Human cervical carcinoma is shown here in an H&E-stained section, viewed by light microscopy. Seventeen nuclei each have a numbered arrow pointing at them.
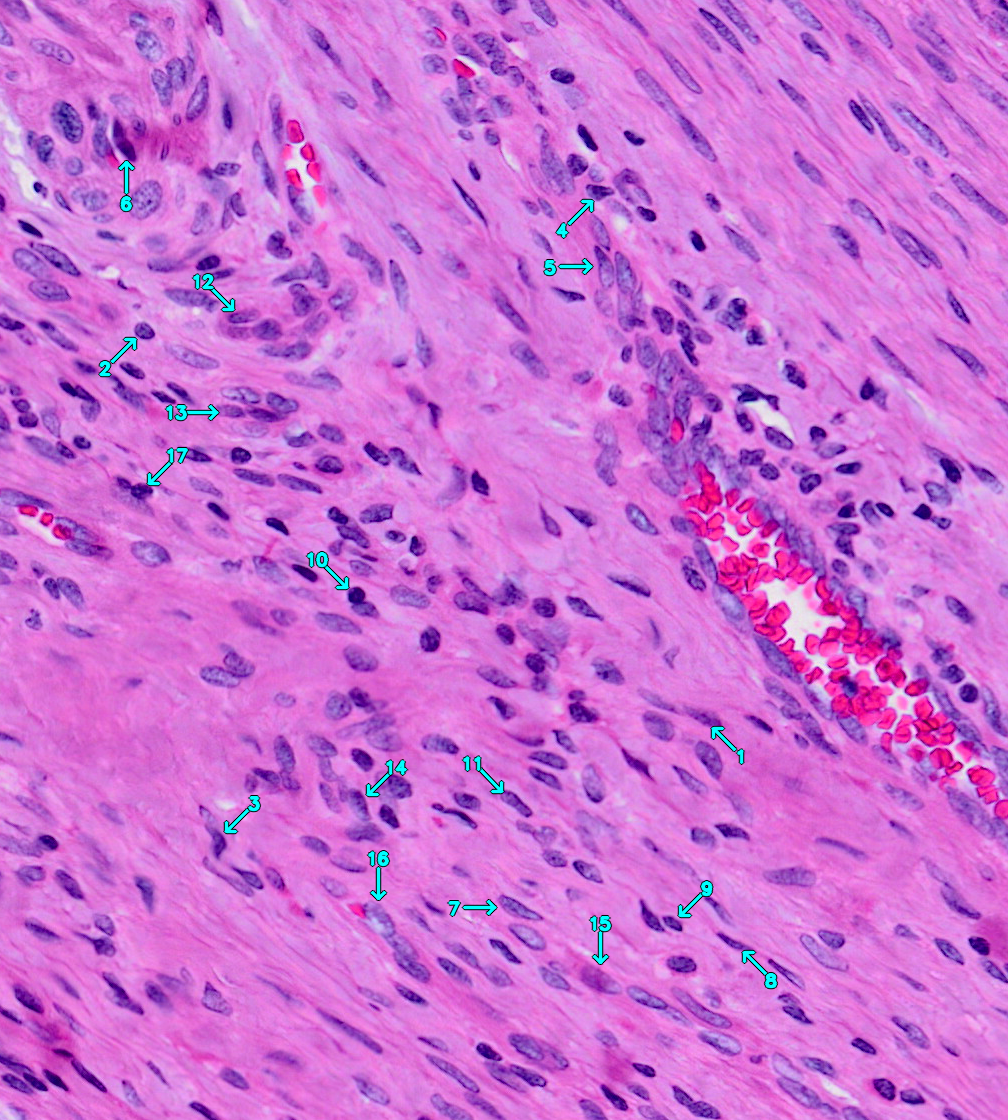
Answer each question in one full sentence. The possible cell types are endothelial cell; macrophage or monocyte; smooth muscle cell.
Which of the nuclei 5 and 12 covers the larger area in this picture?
Number 5 is larger; its area is about 1.5 times that of number 12.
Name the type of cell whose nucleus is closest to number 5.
The cell nearest to number 5 is an endothelial cell.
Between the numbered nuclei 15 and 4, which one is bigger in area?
Nucleus 15 is larger, with an area about 2 times that of nucleus 4.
